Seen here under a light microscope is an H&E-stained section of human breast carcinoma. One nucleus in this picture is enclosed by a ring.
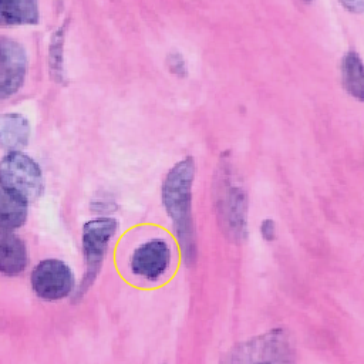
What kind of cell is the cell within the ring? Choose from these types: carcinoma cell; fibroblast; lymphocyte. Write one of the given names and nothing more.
lymphocyte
